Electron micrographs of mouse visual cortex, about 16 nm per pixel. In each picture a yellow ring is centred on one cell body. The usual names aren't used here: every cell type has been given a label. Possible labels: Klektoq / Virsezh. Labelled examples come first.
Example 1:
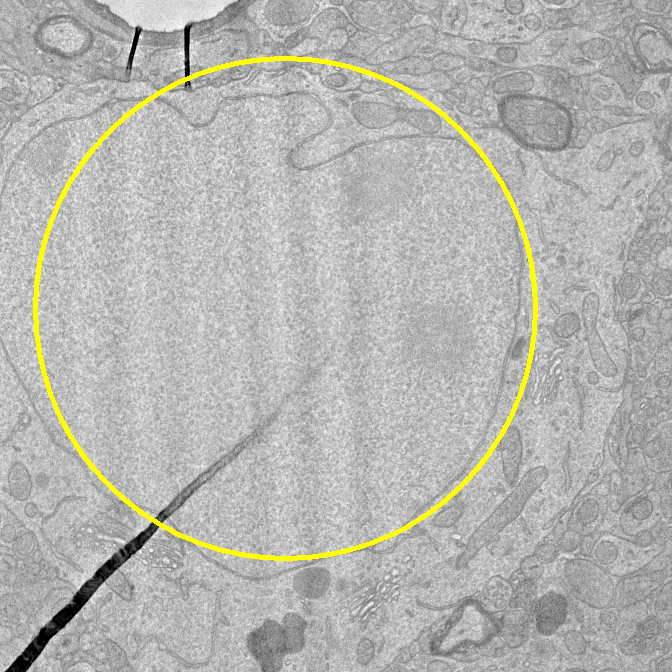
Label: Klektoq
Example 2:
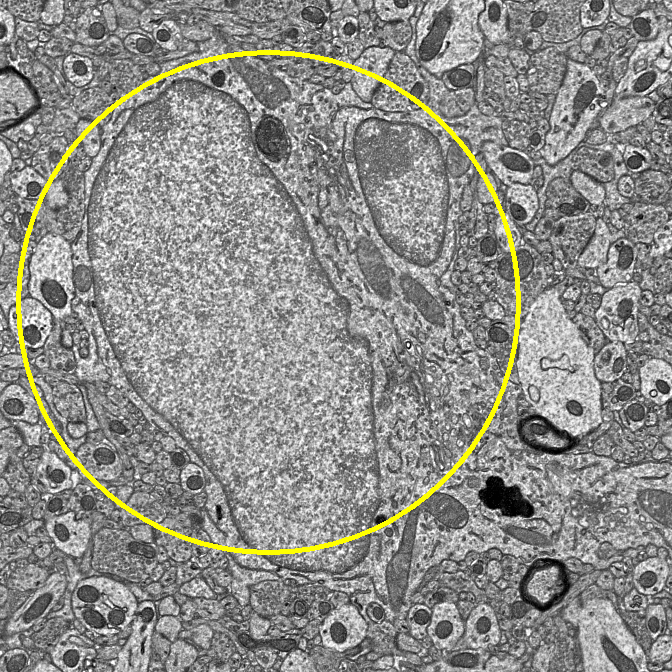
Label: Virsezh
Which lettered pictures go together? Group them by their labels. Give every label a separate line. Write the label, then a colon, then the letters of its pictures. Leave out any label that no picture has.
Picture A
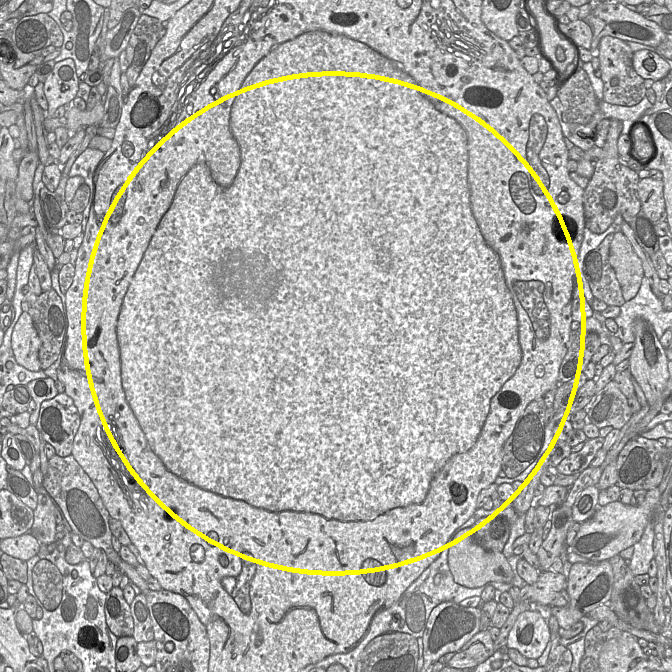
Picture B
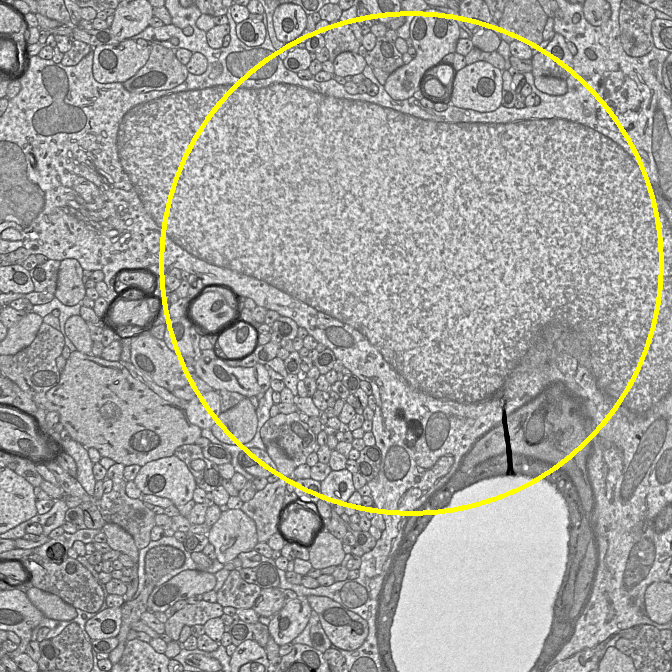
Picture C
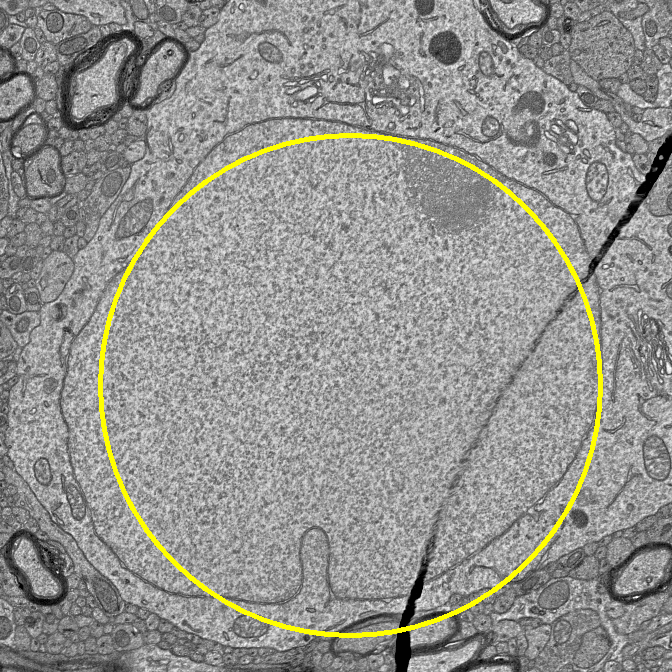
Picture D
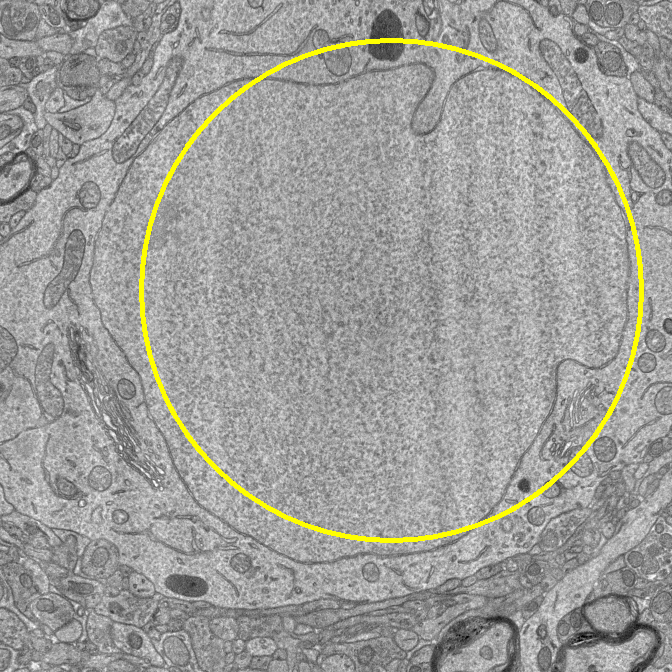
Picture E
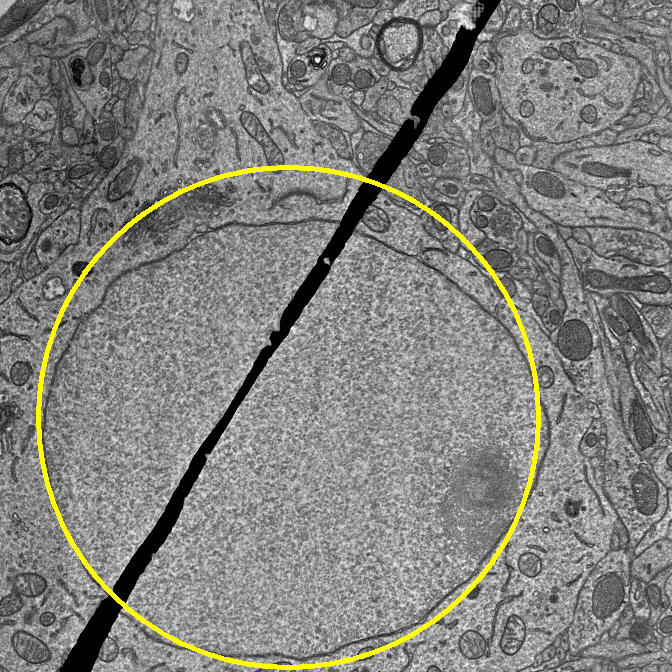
Klektoq: A, C, D, E
Virsezh: B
